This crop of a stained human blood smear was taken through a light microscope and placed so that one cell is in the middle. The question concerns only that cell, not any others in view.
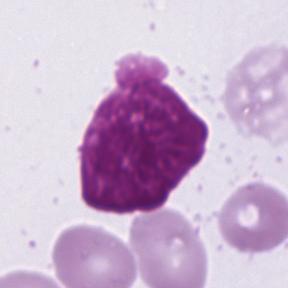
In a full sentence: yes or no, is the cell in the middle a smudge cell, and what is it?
Yes, the cell shown at the crop's centre is a smudge cell.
